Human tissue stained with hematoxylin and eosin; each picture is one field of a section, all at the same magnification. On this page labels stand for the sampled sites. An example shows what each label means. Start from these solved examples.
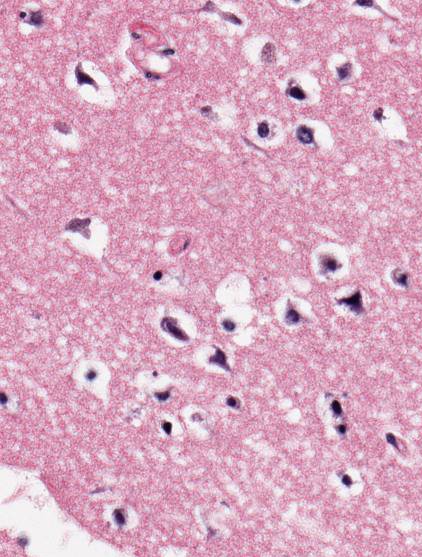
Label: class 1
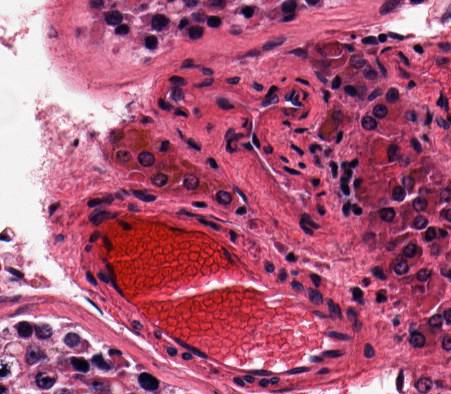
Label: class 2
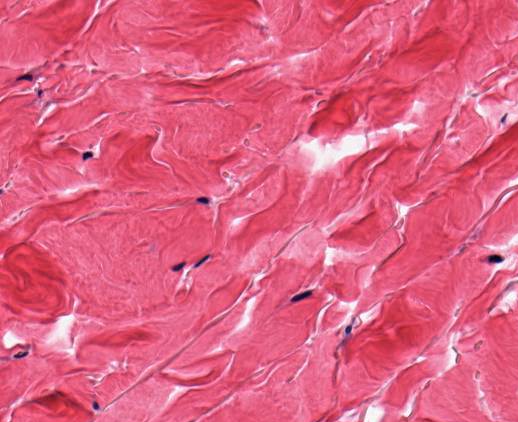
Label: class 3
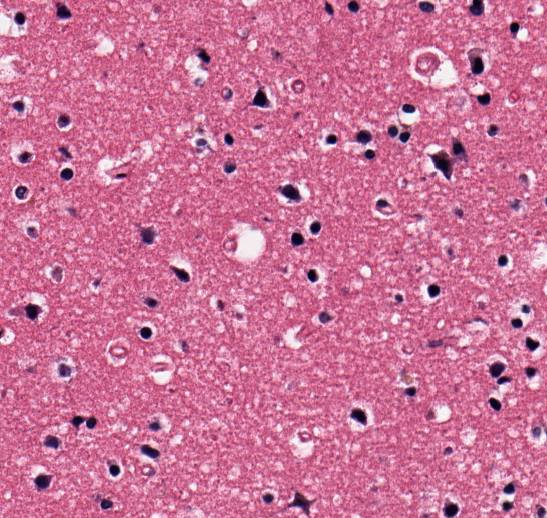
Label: class 1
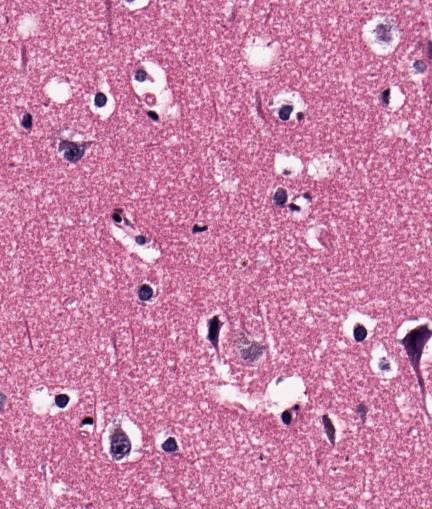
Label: class 1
